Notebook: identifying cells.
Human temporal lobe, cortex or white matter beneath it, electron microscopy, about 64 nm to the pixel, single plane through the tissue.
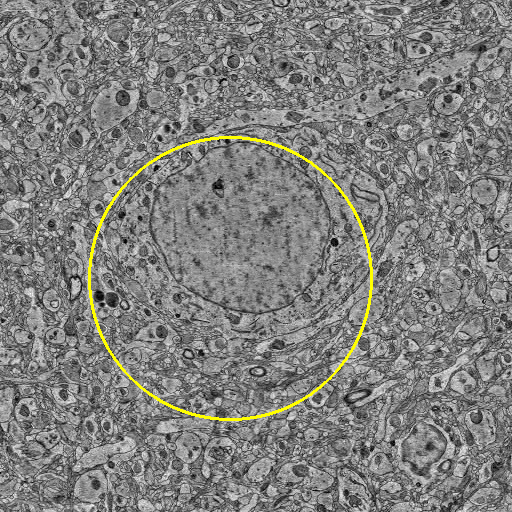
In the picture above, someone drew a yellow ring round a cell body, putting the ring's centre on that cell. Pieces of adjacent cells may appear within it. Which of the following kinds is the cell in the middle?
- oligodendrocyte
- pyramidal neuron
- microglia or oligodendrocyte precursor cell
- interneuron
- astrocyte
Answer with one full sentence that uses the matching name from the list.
In this picture, the yellow ring is centred on the body of a pyramidal neuron.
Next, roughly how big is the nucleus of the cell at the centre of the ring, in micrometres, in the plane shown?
Approximately 12 micrometres across, in this plane.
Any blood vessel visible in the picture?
No, no blood vessel can be seen.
